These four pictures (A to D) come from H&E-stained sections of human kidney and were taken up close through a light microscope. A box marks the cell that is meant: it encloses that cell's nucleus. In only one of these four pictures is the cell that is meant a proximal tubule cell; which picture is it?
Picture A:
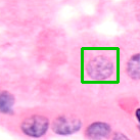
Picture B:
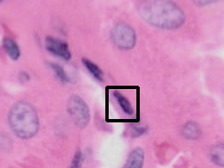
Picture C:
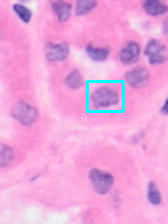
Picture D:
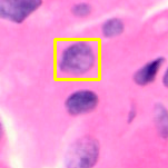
A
